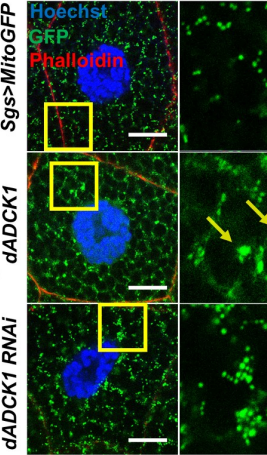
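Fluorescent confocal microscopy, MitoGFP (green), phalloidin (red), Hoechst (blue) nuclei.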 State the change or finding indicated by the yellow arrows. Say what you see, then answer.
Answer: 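The arrows point to large bright green aggregates in the enlarged middle image. On this evidence: clustered mitochondria.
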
